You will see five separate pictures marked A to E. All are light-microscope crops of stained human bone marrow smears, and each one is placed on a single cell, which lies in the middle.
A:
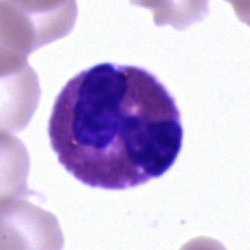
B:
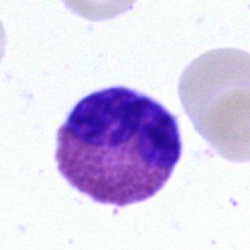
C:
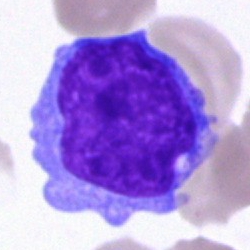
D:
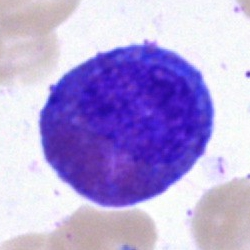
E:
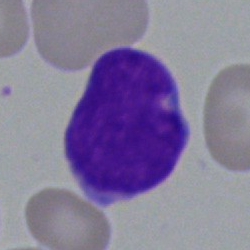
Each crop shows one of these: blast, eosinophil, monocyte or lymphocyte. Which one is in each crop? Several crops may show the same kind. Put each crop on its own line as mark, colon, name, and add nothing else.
A: eosinophil
B: eosinophil
C: blast
D: eosinophil
E: blast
